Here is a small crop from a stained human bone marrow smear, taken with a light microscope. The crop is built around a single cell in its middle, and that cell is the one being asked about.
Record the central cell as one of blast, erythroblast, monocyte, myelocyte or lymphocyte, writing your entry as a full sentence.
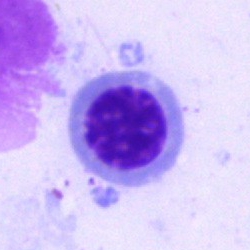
Seen at the centre of the crop is an erythroblast.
